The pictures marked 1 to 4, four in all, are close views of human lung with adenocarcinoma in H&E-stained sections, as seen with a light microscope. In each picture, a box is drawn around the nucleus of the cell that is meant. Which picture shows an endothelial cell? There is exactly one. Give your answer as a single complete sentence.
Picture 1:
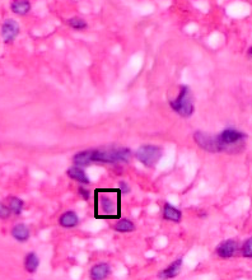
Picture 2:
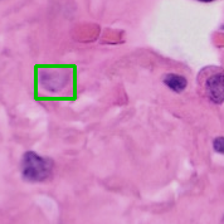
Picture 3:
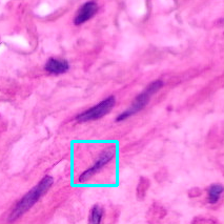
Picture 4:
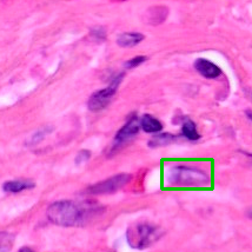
Picture 4 is the one that shows the endothelial cell.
